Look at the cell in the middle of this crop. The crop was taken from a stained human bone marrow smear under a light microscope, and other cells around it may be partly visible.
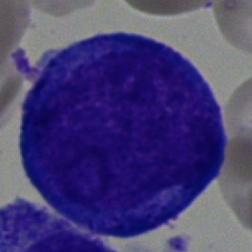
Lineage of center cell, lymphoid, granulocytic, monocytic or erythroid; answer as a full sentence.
Within the erythroid lineage lies the cell at the center of the crop.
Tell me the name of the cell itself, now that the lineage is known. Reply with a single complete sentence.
The cell at the heart of this crop is a proerythroblast.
